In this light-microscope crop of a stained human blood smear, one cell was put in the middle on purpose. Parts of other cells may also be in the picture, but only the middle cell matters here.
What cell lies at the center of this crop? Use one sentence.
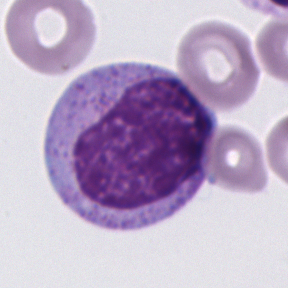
Regarding the central cell, it is a myelocyte.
